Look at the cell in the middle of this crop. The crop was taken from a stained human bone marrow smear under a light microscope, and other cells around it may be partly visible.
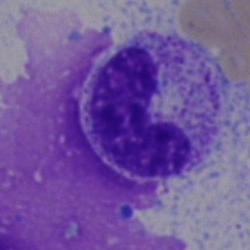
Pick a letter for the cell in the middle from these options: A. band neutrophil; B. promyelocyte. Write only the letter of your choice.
A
